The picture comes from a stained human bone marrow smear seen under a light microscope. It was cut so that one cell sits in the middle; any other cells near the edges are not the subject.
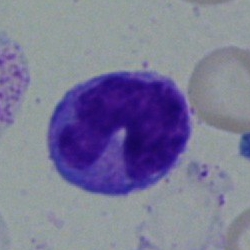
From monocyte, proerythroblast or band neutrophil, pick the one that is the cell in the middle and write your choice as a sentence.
The centered cell in this crop is a monocyte.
